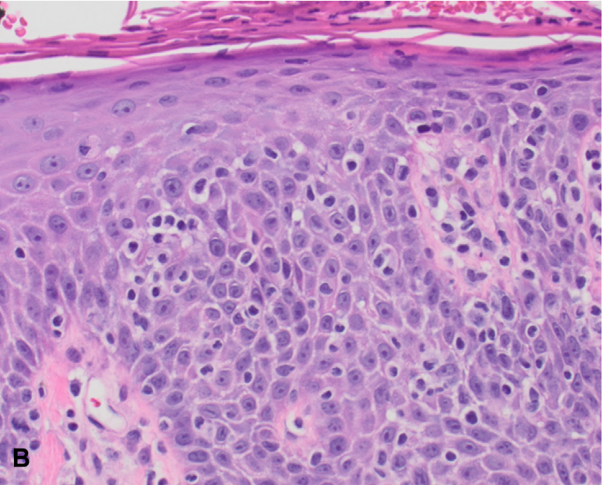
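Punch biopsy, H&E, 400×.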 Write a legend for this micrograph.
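At higher magnification, this epidermis is infiltrated by small to medium lymphocytes lying between the keratinocytes. The keratinocytes are large polygonal cells with pink cytoplasm, round vesicular nuclei and small nucleoli. The intruding lymphocytes are smaller, with dark, hyperchromatic nuclei whose outlines are irregular and folded, and many are surrounded by a clear halo. They are most numerous in the lower layers and thin out toward the surface, where the keratinocytes flatten beneath a layered pink horny layer. A small vessel with a red cell lies in the pink dermal papilla at lower left.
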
